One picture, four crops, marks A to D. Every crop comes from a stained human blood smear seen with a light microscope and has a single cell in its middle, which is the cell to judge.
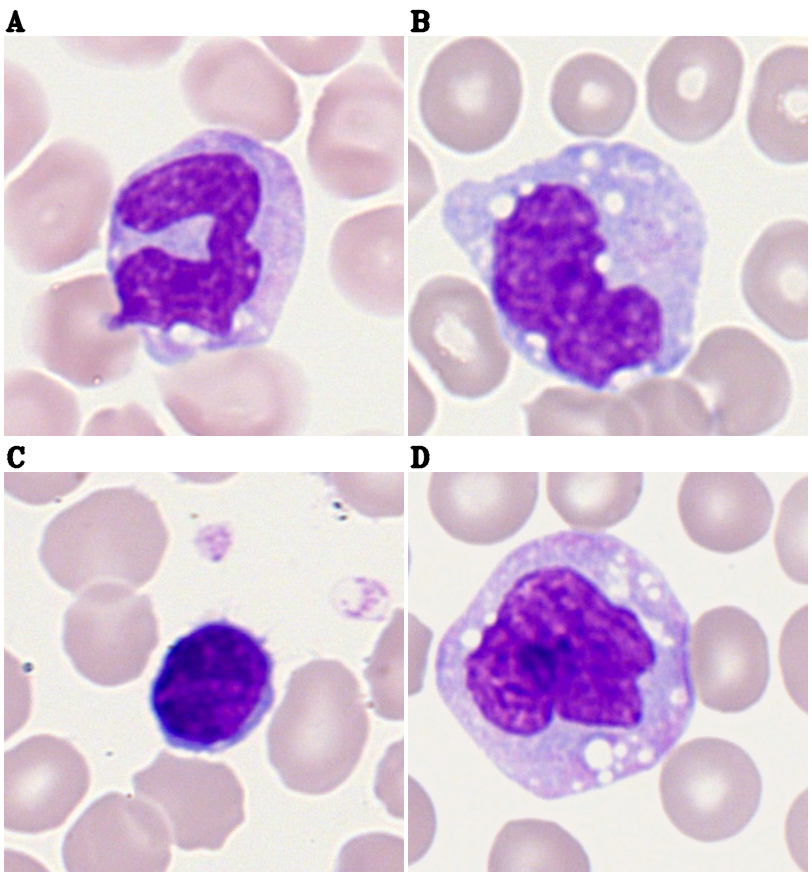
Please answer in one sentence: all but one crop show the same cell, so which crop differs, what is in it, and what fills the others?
Crop C is the outlier, with a lymphocyte against monocytes in the rest.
